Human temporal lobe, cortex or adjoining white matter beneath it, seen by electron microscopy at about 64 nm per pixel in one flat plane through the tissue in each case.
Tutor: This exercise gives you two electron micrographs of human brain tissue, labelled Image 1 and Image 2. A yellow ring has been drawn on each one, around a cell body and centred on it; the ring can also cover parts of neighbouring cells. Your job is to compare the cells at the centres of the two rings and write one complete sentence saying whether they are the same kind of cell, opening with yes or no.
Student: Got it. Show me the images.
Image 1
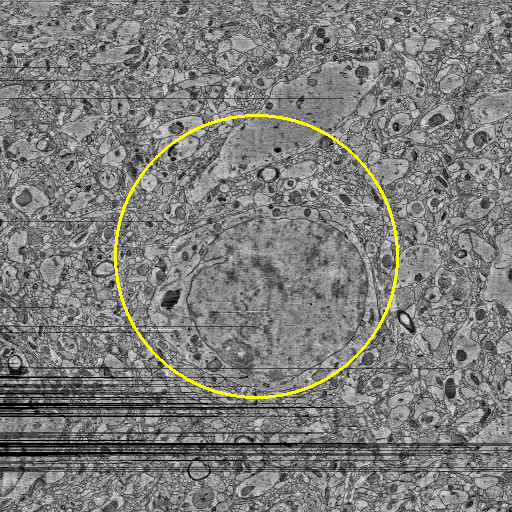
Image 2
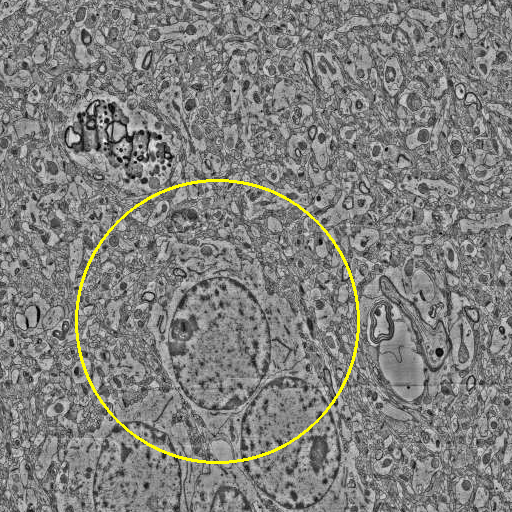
No, the two cells belong to two kinds.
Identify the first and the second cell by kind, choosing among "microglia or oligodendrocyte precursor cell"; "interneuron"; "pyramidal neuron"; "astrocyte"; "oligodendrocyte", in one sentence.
The one in the first picture is an interneuron, while the one in the second is an astrocyte.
